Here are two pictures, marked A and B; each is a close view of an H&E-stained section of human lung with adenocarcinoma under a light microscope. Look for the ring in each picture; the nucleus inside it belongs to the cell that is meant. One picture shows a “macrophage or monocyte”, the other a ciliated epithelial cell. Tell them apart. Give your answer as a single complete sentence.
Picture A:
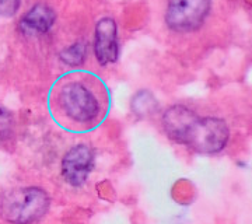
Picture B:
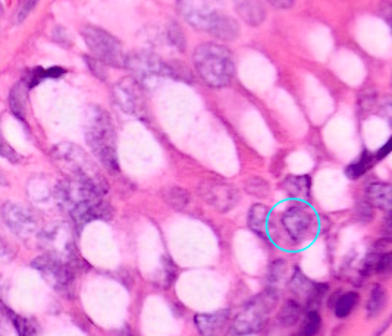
Picture B shows a ciliated epithelial cell, while picture A shows a “macrophage or monocyte”.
